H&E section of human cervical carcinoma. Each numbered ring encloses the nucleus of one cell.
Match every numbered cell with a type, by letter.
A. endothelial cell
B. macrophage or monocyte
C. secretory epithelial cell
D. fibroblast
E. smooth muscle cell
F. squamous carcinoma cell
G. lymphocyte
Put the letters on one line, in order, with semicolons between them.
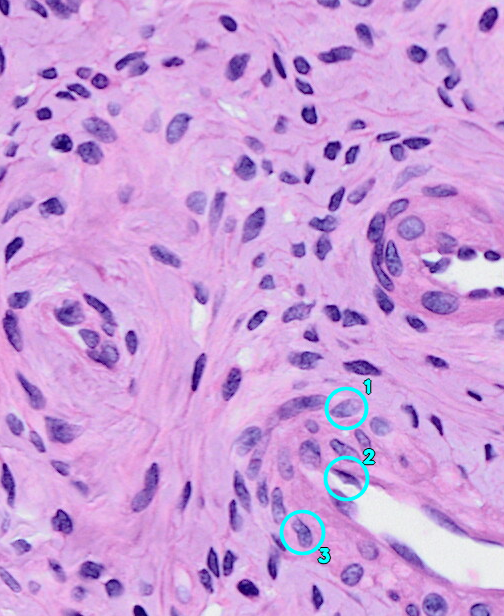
E; A; E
